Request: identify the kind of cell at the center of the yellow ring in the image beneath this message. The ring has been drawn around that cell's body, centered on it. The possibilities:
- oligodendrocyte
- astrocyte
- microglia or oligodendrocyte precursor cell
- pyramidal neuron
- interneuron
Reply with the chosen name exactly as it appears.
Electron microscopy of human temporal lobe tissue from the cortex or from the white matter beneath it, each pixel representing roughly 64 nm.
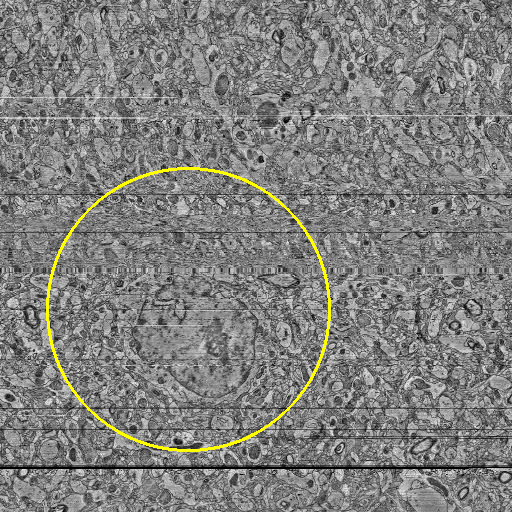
interneuron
